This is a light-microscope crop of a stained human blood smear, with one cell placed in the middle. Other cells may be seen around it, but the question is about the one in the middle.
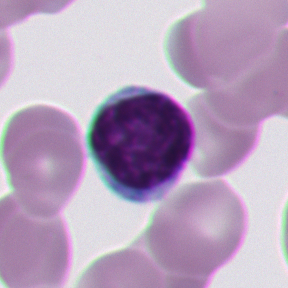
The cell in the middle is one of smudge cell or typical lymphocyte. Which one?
typical lymphocyte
